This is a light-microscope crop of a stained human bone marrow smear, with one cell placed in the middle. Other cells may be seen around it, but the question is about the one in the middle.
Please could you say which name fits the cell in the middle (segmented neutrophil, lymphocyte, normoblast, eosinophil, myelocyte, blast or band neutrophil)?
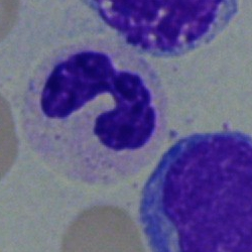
segmented neutrophil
